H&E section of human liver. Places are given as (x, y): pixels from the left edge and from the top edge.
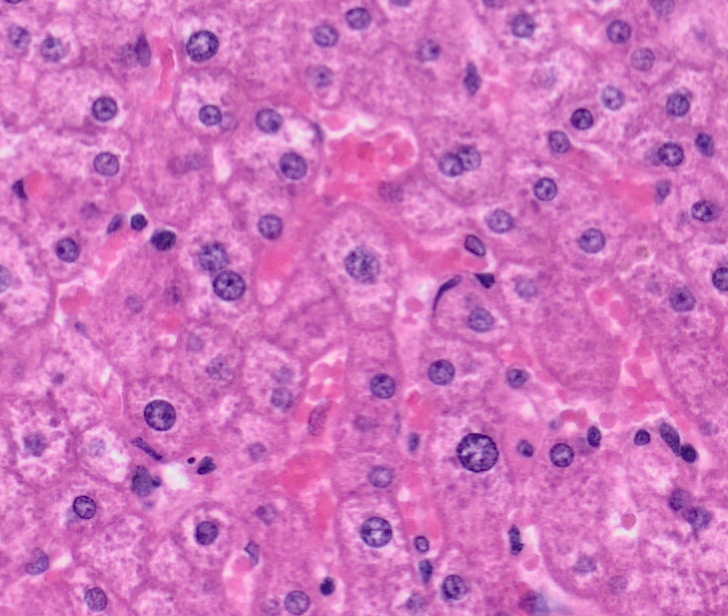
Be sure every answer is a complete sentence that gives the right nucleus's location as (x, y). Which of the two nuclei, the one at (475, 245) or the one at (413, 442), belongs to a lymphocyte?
The nucleus at (413, 442), rather than the other one, belongs to a lymphocyte.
